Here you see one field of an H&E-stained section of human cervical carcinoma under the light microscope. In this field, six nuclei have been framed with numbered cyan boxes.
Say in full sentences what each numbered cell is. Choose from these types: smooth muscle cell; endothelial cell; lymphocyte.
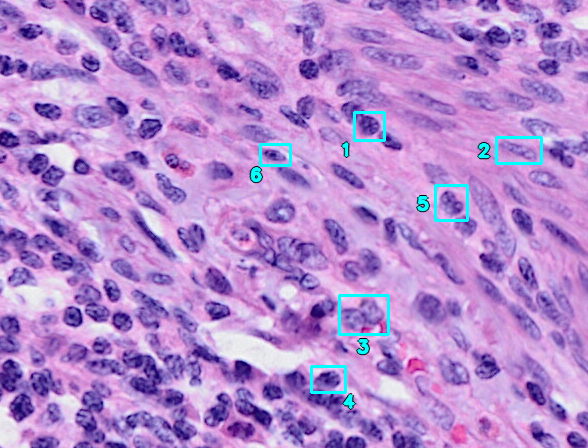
Cell 1 is a lymphocyte, cell 2 is a smooth muscle cell, cell 3 is an endothelial cell, cell 4 is a lymphocyte, cell 5 is a lymphocyte and cell 6 is a lymphocyte.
